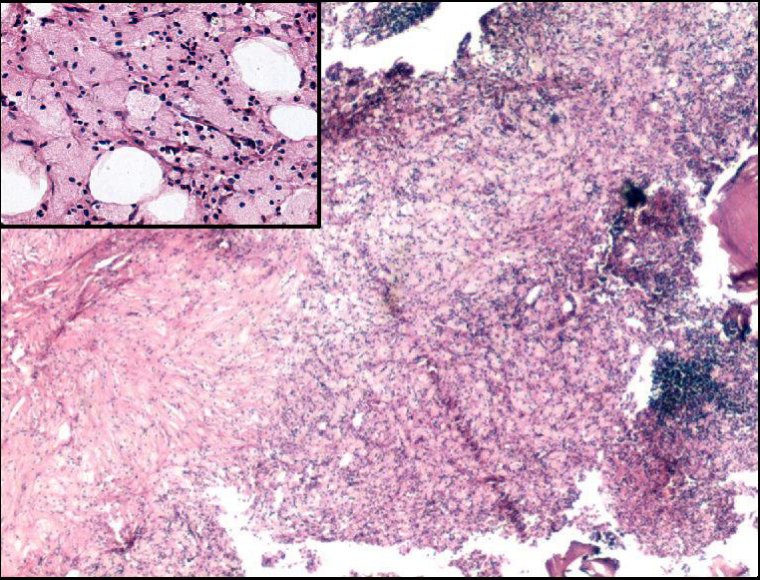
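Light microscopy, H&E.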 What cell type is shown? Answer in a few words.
Foamy macrophages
